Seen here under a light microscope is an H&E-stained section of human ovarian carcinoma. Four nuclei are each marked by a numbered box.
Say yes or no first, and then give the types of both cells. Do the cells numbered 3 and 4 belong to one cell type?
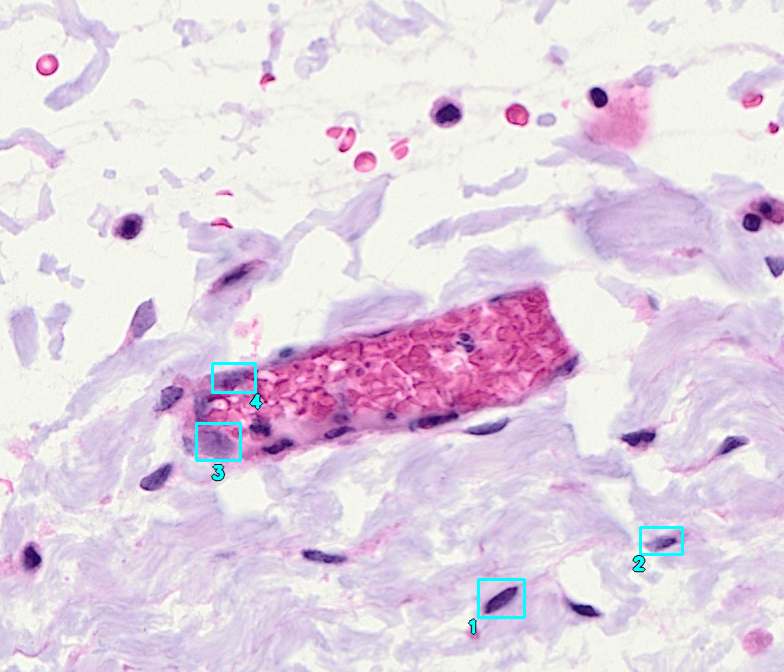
Yes, cells 3 and 4 both count as endothelial cells.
